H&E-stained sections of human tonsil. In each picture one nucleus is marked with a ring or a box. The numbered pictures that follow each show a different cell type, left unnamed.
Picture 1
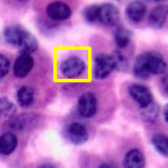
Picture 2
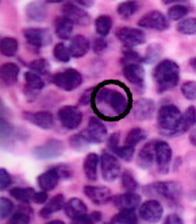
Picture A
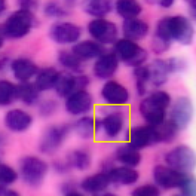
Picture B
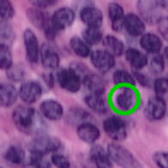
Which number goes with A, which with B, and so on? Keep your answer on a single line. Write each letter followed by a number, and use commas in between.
A 2, B 2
